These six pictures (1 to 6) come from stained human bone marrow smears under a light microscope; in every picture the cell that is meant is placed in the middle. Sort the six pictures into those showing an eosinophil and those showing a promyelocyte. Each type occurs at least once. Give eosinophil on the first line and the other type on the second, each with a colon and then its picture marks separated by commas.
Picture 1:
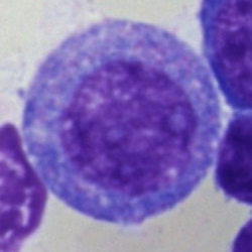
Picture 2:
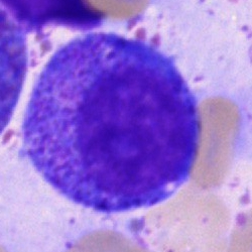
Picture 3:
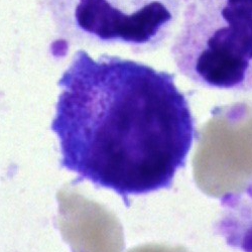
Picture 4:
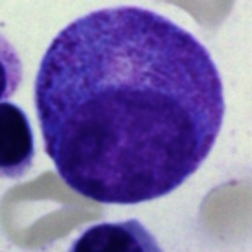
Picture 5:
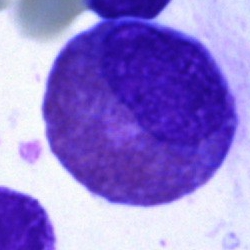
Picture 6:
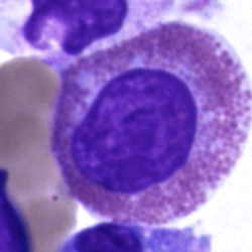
eosinophil: 5, 6
promyelocyte: 1, 2, 3, 4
